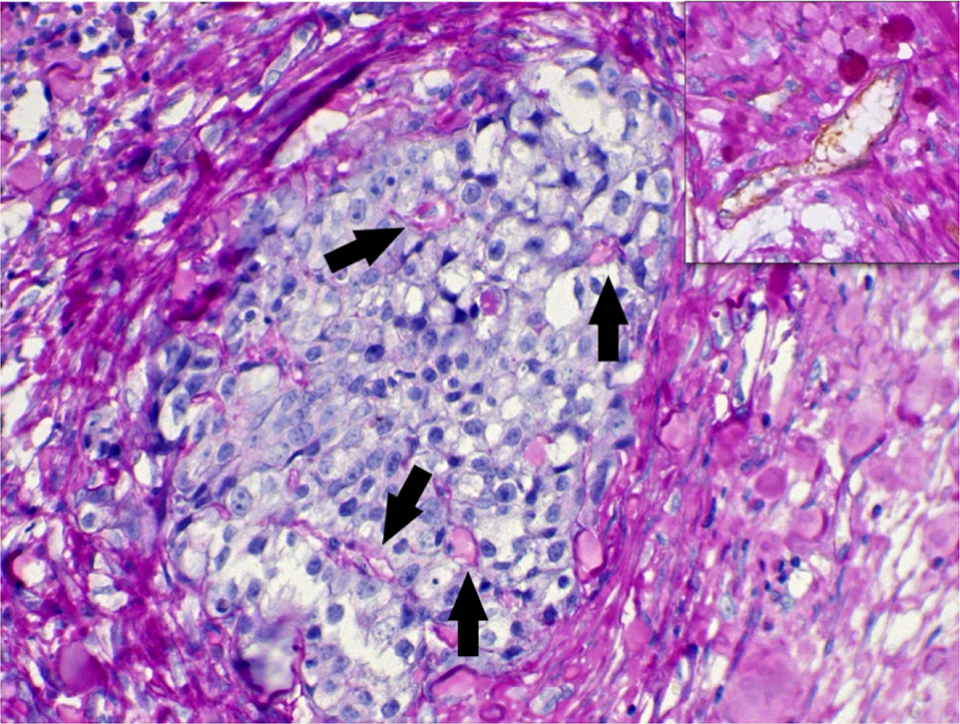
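This is a nest of tumor cells lying in a solid group, surrounded by dense magenta-stained fibrous stroma. The cells are large and crowded, with round to oval blue nuclei and pale, often clear or vacuolated cytoplasm. For comparison, the inset at the top right shows a real blood vessel, an elongated channel whose lining stains brown.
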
